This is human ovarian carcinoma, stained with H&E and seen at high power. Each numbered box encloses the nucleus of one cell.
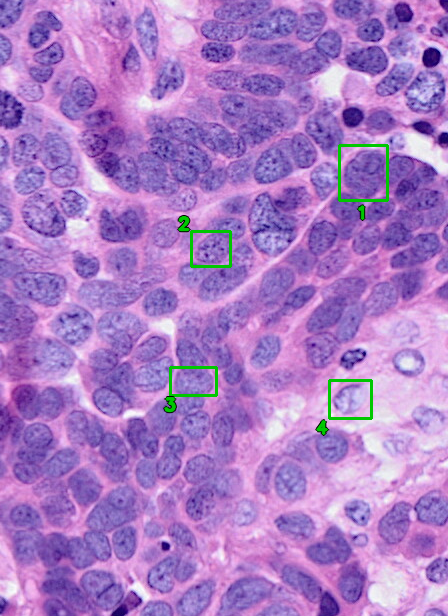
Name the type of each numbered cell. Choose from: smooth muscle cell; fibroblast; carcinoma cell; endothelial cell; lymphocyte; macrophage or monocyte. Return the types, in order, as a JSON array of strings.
["carcinoma cell", "carcinoma cell", "carcinoma cell", "fibroblast"]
